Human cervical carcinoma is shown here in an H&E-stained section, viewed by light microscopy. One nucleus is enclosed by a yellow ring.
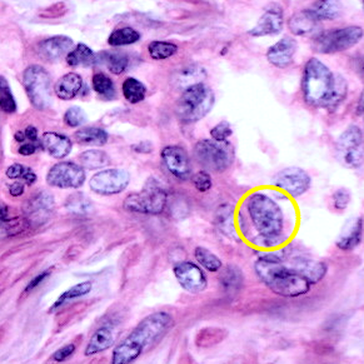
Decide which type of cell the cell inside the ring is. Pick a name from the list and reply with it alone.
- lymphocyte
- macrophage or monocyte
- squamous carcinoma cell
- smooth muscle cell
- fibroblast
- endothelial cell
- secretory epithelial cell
endothelial cell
